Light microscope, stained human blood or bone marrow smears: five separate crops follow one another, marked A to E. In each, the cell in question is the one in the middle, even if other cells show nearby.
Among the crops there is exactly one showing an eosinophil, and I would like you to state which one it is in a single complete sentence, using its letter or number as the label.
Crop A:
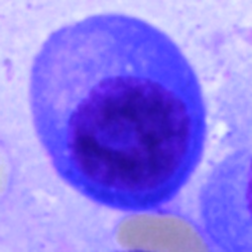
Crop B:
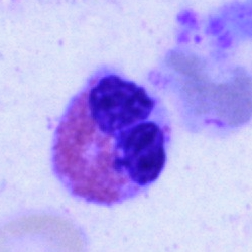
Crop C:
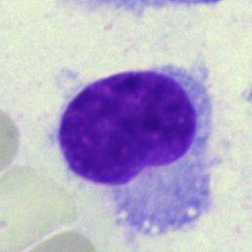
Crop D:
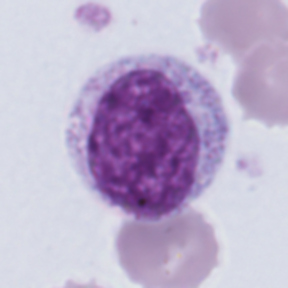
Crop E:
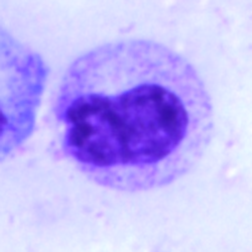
Crop B is the crop containing an eosinophil.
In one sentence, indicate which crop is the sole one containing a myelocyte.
Among all the crops given here, the one with a myelocyte is crop D.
